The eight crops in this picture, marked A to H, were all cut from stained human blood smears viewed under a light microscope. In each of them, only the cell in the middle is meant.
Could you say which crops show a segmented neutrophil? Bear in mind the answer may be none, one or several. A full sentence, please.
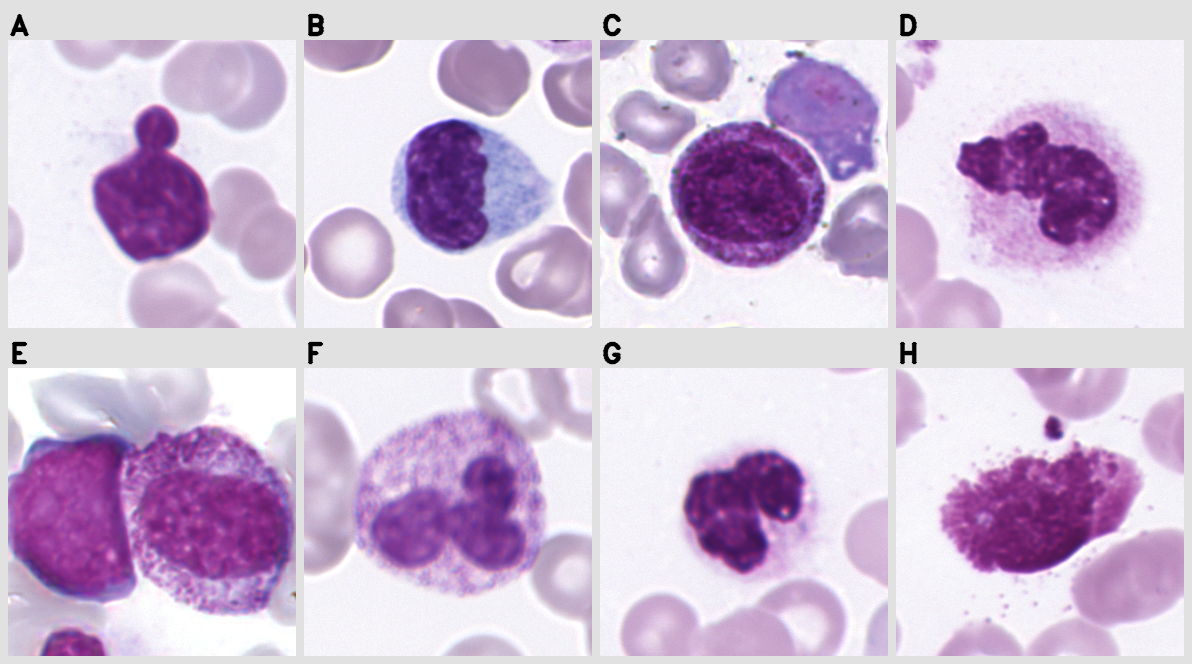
The target cells in crops D, F and G are segmented neutrophils.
